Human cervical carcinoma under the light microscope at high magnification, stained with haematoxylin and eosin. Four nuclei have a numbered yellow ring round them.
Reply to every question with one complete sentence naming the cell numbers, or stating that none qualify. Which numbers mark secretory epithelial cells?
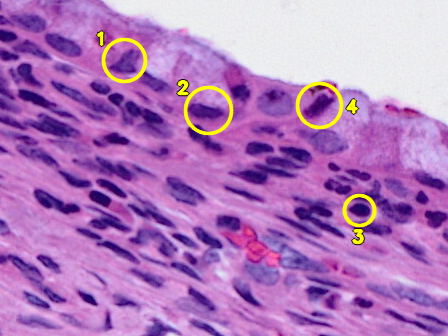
Identification: the cells with numbers 1, 2 and 4 are secretory epithelial cells.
